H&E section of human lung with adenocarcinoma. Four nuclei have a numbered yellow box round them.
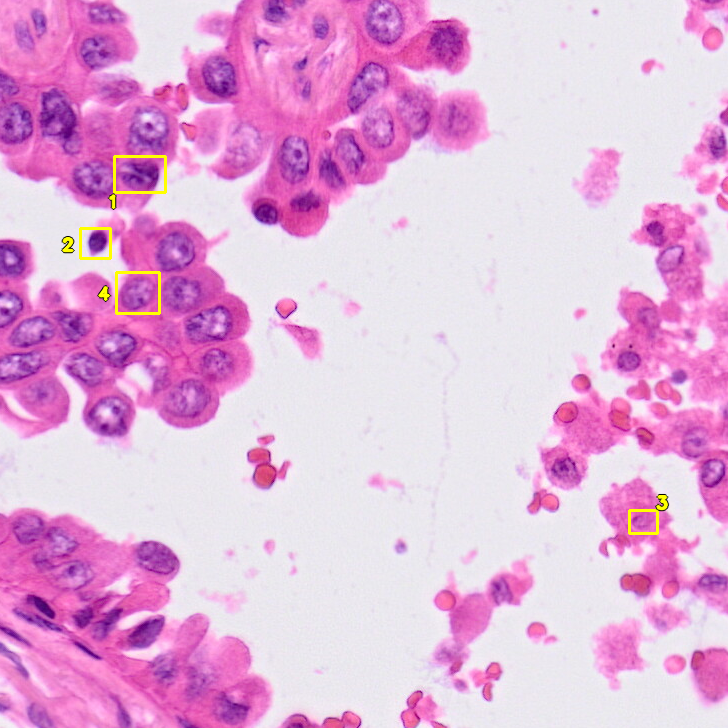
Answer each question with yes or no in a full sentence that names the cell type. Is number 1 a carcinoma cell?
Yes, number 1 in this section denotes a carcinoma cell.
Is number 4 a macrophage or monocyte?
No, as for cell 4, it is a carcinoma cell and not a macrophage or monocyte.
